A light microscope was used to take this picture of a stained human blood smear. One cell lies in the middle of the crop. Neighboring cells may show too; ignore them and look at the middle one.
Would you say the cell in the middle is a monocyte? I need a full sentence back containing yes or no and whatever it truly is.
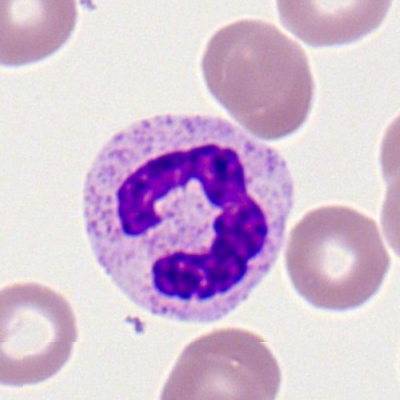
No, what the centre of the crop shows is a neutrophil, not a monocyte.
